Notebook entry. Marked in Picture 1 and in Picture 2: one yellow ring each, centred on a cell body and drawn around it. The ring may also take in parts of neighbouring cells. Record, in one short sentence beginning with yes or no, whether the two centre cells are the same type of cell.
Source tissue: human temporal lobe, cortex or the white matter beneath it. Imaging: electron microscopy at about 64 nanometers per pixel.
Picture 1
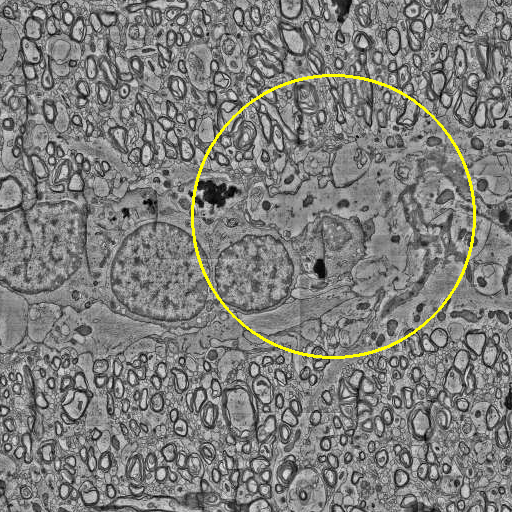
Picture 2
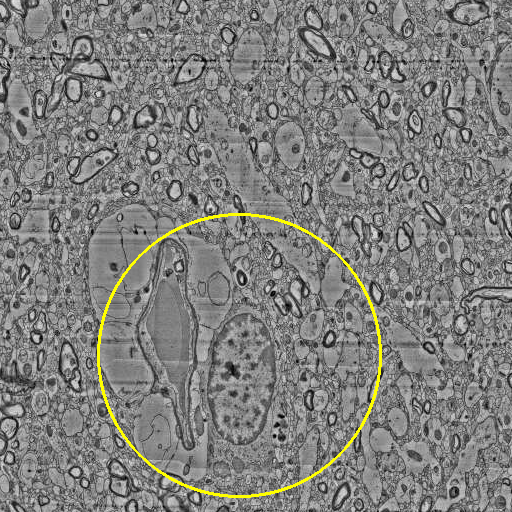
Yes, both are the same type of cell.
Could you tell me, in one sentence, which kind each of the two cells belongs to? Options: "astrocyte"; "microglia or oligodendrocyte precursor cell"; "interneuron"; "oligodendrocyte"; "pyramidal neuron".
Each cell at the centre of a ring is an oligodendrocyte.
